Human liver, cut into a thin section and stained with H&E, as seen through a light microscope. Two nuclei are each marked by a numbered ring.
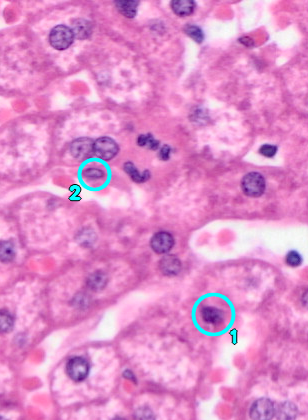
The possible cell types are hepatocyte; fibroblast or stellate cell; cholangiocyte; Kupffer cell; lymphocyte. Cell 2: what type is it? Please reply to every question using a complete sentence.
The cell pointed out as number 2 is a Kupffer cell.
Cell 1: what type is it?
The cell carrying label 1 is identified as a fibroblast or stellate cell.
